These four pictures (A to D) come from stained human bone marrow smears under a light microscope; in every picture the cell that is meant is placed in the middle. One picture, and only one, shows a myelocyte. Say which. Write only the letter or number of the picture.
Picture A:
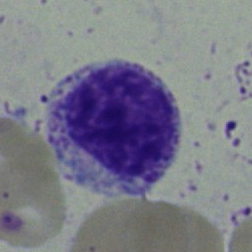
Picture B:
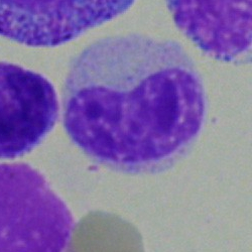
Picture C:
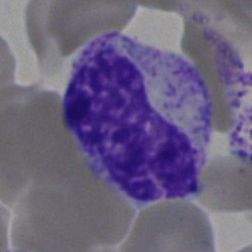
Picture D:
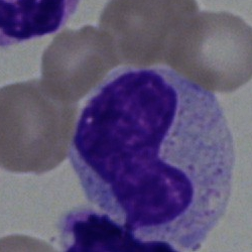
A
